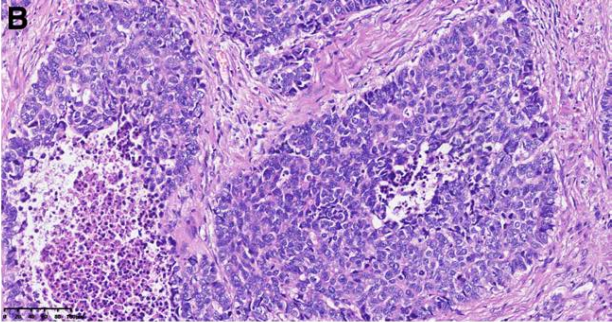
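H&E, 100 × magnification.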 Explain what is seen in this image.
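Carcinoma forming large solid nests of crowded, large tumour cells separated by thin septa of pink fibrous stroma. Nuclei are large, dark and vary in size and shape, with scant cytoplasm. One nest at the left holds loose pink debris with scattered cells, and small clefts open within the larger nest.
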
